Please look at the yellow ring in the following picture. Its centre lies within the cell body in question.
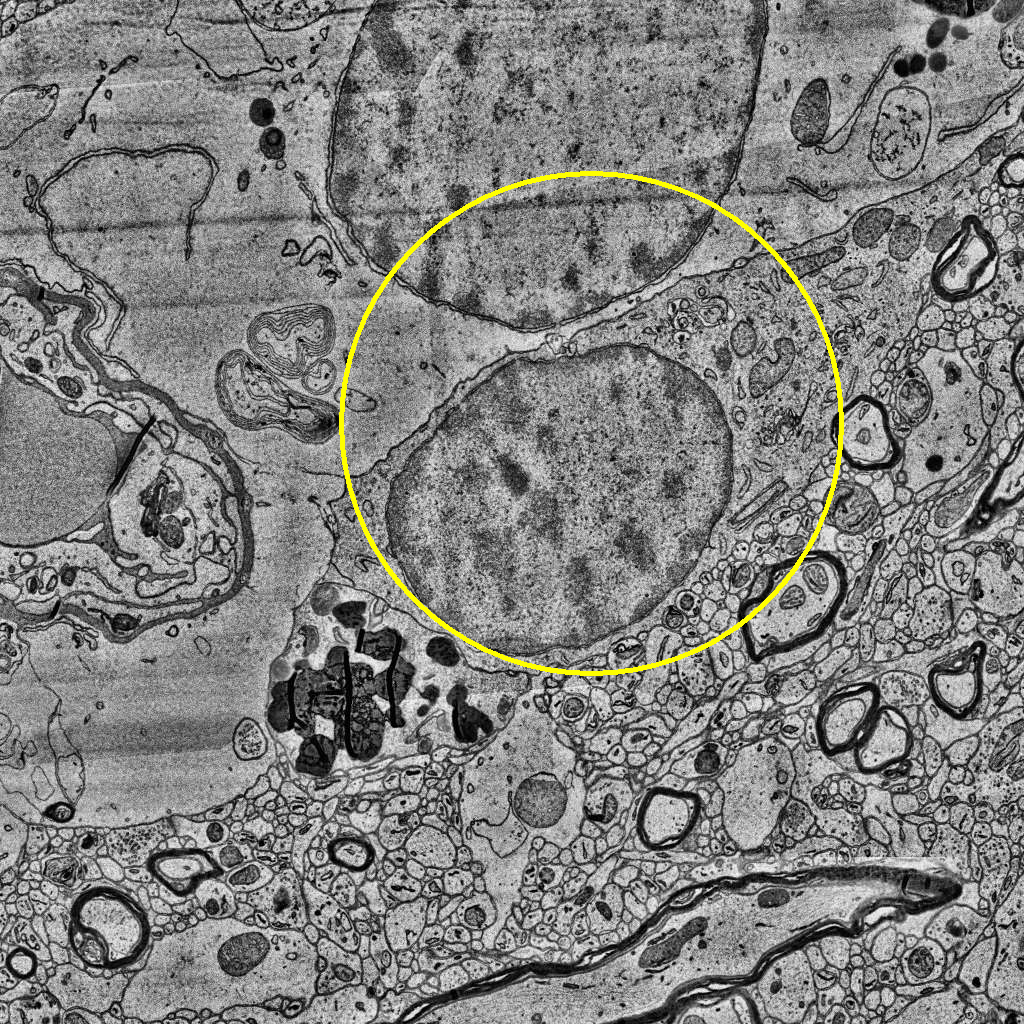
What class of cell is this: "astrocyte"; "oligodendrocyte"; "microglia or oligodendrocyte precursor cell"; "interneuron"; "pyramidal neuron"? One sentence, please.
The centre of the ring lies in the cell body of an oligodendrocyte.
